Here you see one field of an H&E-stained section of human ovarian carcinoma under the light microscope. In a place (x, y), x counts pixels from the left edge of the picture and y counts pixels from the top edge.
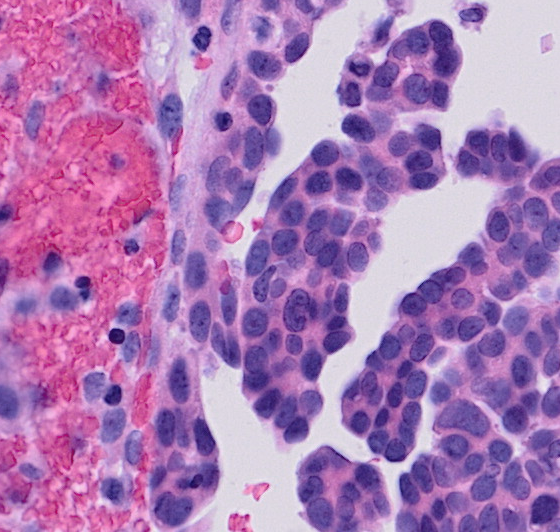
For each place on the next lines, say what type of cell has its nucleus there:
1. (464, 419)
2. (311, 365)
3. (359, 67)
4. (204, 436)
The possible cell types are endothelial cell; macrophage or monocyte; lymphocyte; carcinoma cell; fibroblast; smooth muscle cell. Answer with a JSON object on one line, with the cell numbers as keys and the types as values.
{"1": "carcinoma cell", "2": "carcinoma cell", "3": "macrophage or monocyte", "4": "carcinoma cell"}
